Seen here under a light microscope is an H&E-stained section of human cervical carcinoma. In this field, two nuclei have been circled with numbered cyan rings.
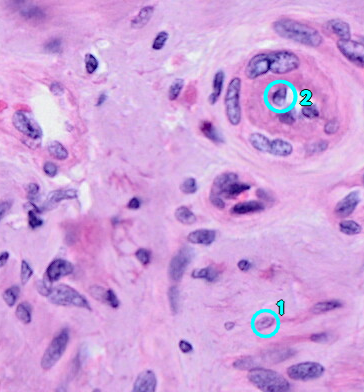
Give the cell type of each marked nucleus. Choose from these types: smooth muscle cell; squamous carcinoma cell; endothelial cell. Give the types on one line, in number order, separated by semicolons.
smooth muscle cell; endothelial cell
